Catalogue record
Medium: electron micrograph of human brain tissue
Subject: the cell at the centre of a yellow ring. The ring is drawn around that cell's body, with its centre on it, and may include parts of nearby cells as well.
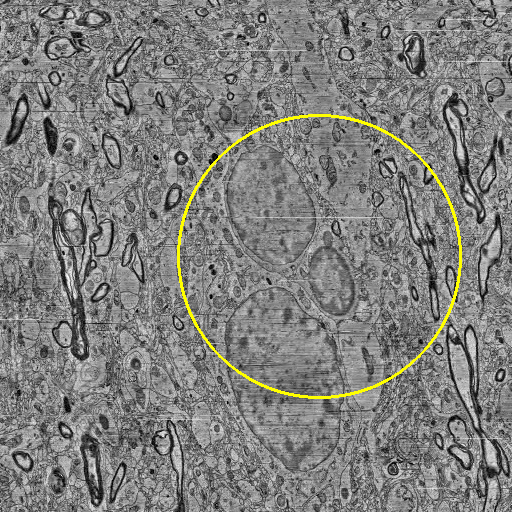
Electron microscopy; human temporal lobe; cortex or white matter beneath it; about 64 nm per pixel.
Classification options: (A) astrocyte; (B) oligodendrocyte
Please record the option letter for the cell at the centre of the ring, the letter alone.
B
